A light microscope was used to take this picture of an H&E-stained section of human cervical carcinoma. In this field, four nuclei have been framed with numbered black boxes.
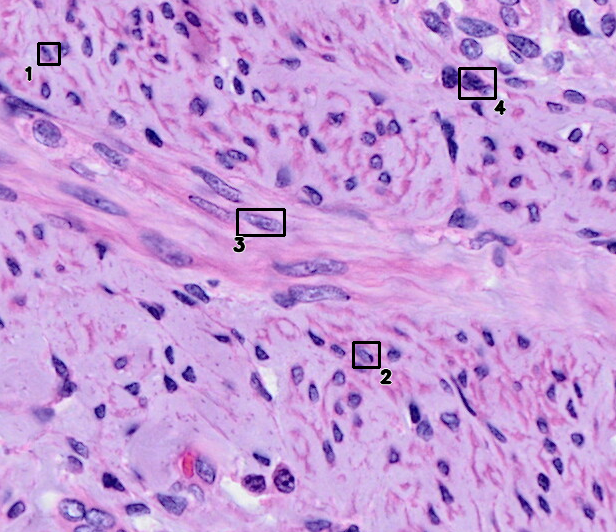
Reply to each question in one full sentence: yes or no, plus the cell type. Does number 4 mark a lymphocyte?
Yes, on this slide, the cell with number 4 is a lymphocyte.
